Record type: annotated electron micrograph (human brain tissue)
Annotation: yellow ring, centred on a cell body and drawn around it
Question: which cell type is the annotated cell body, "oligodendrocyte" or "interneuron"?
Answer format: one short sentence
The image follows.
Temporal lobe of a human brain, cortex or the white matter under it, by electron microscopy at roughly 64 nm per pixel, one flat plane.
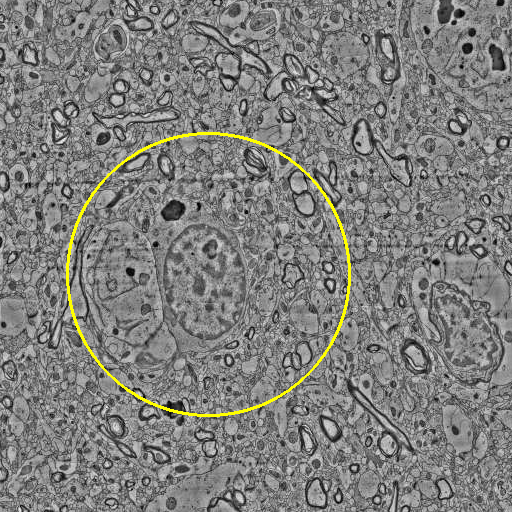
The annotated cell body is that of an oligodendrocyte.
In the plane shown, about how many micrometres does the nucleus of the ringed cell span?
In this plane, the nucleus of the cell at the centre of the ring measures about 7 by 5 micrometres.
